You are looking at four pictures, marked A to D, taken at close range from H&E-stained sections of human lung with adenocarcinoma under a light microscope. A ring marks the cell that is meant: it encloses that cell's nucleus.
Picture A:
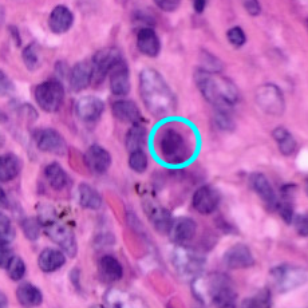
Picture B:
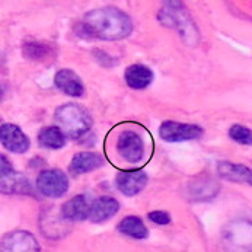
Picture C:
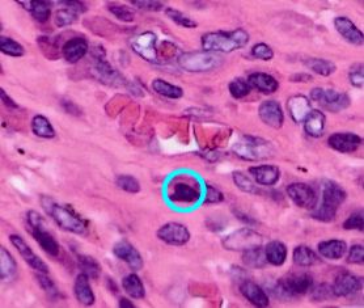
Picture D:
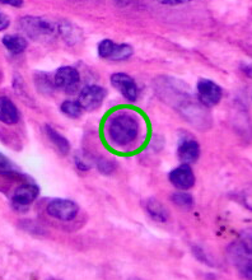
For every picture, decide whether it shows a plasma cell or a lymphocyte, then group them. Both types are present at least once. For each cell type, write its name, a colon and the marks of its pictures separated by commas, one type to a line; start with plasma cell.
plasma cell: A, C, D
lymphocyte: B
